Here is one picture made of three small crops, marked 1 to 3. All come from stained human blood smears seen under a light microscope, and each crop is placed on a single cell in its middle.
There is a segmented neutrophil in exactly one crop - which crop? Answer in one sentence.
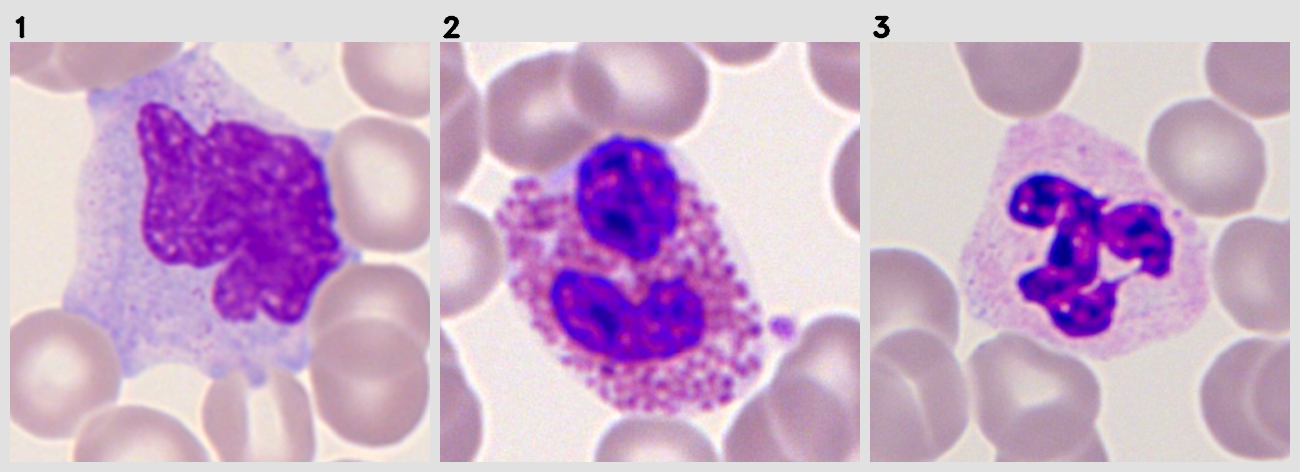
Crop 3 is the one in the set with a segmented neutrophil at the center.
